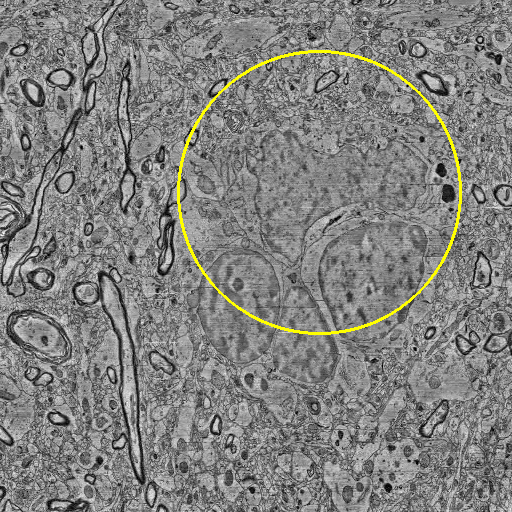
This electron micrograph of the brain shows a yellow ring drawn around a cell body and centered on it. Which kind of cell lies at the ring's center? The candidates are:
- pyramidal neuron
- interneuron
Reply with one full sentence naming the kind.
The cell lying at the ring's center in this micrograph is an interneuron.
